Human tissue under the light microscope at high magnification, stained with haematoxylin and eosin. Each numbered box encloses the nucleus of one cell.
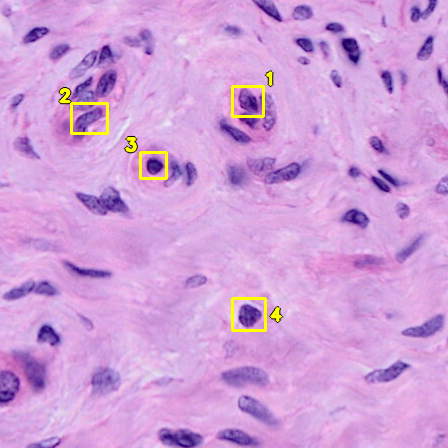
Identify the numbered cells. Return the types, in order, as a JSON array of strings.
["endothelial cell", "endothelial cell", "endothelial cell", "lymphocyte"]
